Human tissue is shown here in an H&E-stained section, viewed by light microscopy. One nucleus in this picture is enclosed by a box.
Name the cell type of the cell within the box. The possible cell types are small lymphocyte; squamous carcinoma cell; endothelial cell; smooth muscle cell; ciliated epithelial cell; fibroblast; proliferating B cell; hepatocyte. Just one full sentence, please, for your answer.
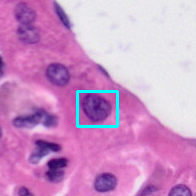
The correct response here is that the cell within the box is a hepatocyte.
